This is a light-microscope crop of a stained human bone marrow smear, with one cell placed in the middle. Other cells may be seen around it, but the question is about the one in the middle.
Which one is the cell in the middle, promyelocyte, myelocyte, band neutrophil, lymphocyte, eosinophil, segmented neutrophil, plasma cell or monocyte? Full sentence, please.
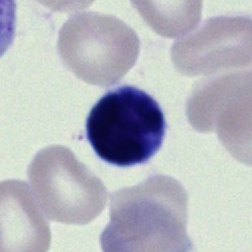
By type, the central cell of the crop is a lymphocyte.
